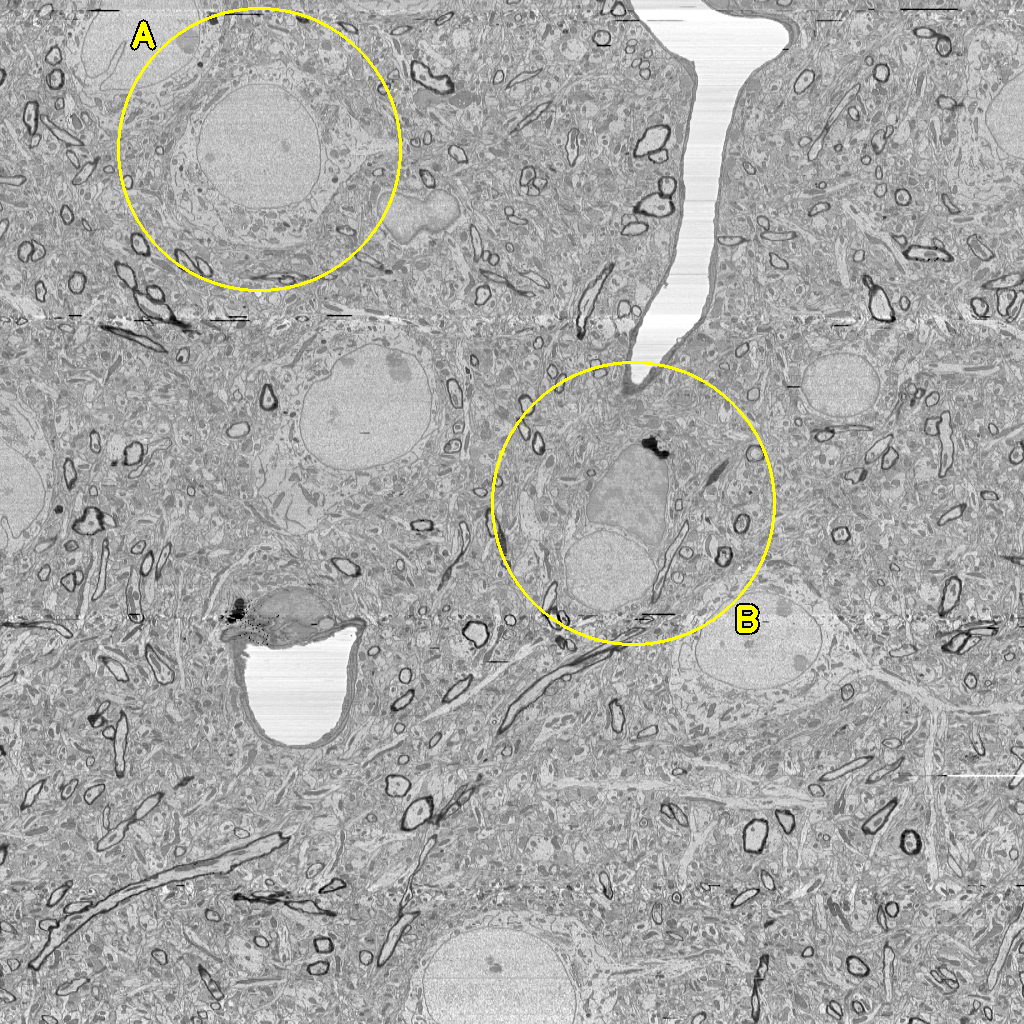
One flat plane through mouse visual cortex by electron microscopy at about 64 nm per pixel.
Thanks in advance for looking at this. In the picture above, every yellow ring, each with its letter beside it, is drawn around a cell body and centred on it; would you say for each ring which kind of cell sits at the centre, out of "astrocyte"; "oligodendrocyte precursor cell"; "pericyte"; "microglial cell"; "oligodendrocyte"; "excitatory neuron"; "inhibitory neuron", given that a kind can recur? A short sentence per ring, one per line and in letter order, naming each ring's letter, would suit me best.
The cell body in ring A belongs to an excitatory neuron.
The cell body in ring B belongs to a microglial cell.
